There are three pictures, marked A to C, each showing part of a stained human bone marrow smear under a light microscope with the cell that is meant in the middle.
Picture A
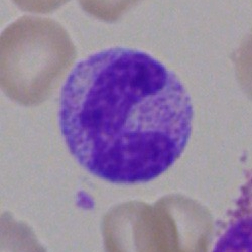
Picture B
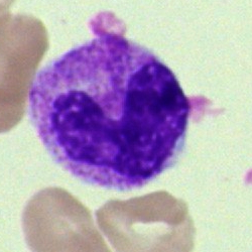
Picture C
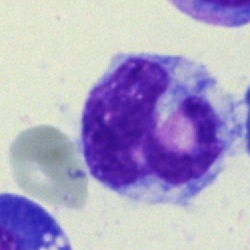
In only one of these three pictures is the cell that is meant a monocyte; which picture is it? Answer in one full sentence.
It is picture C that shows the monocyte.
